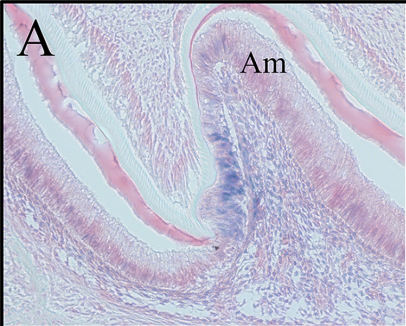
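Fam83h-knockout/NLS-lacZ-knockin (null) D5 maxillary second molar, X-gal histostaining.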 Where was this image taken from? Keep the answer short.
Cusp region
